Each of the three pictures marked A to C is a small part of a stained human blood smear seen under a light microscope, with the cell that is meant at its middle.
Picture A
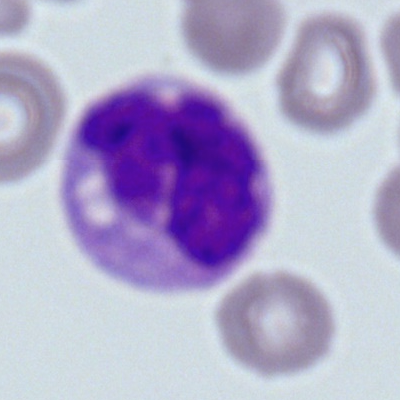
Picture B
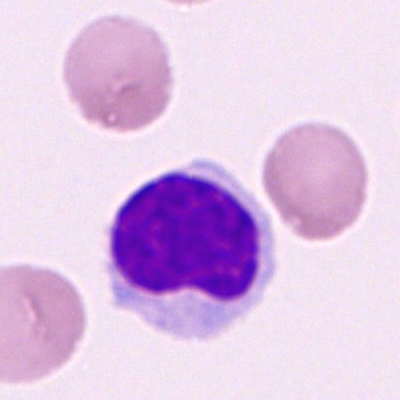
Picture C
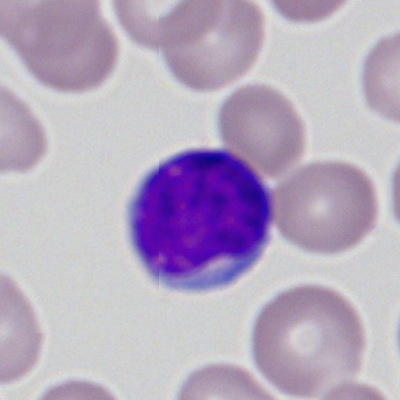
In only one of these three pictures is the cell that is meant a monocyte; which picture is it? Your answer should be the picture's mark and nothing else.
A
